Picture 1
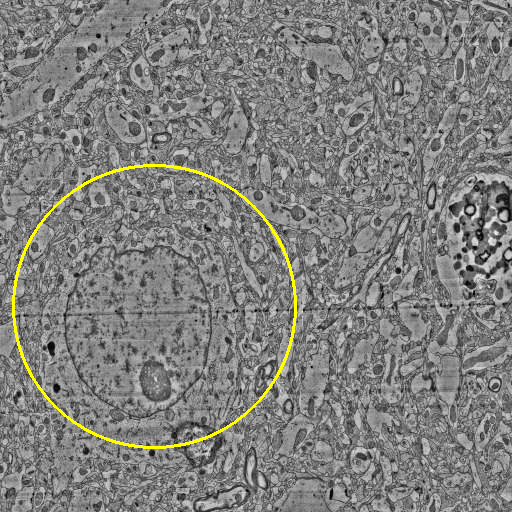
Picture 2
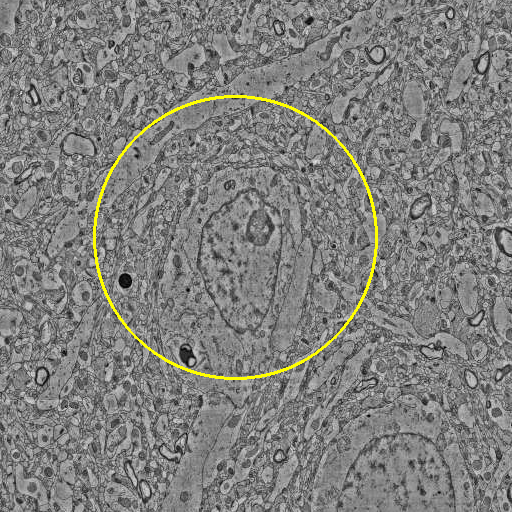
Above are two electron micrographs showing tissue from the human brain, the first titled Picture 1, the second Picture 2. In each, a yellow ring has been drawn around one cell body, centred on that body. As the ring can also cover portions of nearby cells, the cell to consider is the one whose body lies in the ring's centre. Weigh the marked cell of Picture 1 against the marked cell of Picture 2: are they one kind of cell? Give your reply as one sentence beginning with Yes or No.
Yes, the two cells sitting at the ring centres in the pictures are of one kind.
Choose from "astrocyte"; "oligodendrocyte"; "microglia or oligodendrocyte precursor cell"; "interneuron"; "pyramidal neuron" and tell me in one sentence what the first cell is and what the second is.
Each one of the two ringed cells is a pyramidal neuron.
